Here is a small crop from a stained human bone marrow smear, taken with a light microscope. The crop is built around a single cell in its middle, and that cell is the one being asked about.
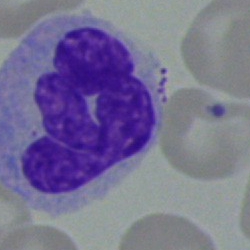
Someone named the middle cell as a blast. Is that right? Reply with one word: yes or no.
no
